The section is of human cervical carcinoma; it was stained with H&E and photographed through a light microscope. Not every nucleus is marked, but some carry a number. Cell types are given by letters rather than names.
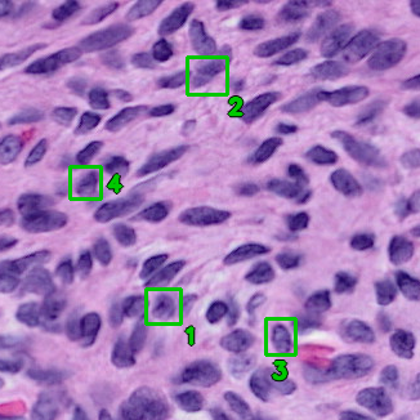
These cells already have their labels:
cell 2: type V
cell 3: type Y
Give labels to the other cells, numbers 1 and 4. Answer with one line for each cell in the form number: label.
1: type V
4: type V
